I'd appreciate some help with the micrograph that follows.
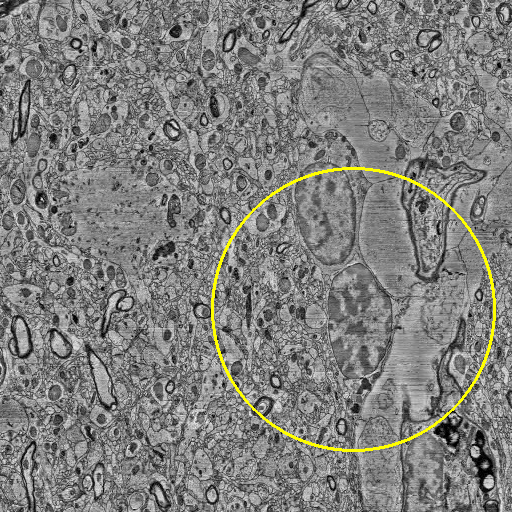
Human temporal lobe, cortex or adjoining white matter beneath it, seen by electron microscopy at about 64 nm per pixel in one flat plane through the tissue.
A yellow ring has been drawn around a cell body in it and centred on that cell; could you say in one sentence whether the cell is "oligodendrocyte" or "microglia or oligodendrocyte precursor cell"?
It is a microglial cell or oligodendrocyte precursor cell at the centre of the ring.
